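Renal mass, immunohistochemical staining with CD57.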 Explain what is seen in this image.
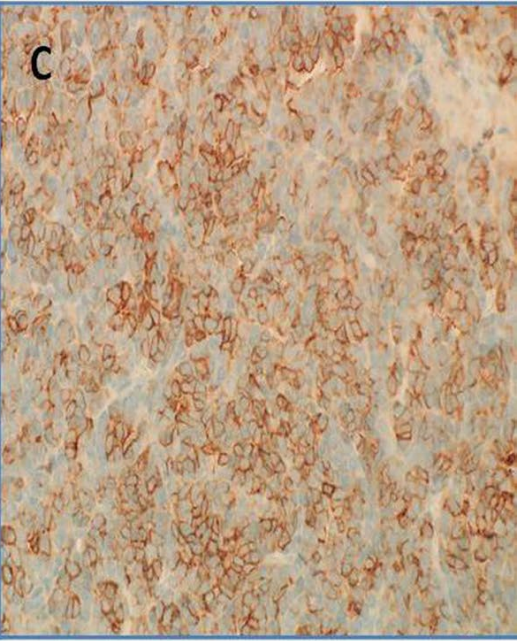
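A brown stain outlines the borders of many of the cells, giving a net-like pattern of rings around them. Some areas show weaker or absent brown outlining.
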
